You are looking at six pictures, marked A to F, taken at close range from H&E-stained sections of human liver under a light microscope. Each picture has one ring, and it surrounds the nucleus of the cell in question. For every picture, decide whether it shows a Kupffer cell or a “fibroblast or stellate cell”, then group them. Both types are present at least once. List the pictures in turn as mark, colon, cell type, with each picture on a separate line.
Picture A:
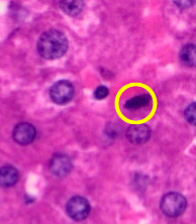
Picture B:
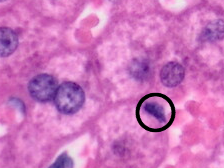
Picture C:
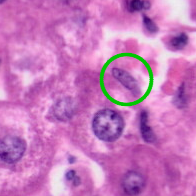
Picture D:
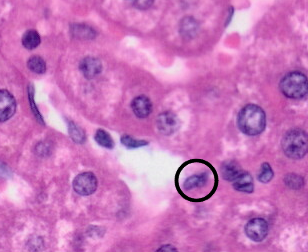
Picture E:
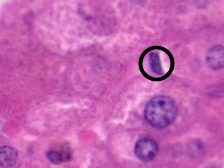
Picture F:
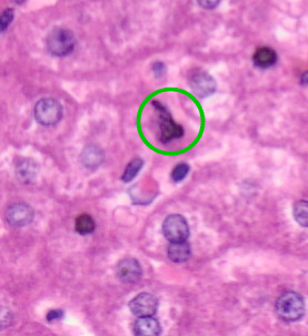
A: fibroblast or stellate cell
B: fibroblast or stellate cell
C: Kupffer cell
D: fibroblast or stellate cell
E: fibroblast or stellate cell
F: Kupffer cell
